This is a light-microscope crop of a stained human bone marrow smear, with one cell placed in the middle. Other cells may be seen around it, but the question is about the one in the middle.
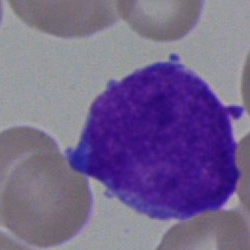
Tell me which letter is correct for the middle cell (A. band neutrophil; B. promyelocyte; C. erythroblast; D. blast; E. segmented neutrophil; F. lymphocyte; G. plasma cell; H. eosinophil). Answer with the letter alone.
D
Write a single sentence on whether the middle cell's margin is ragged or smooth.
The edge of the cell is broken up by ragged stretches or by outward projections.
